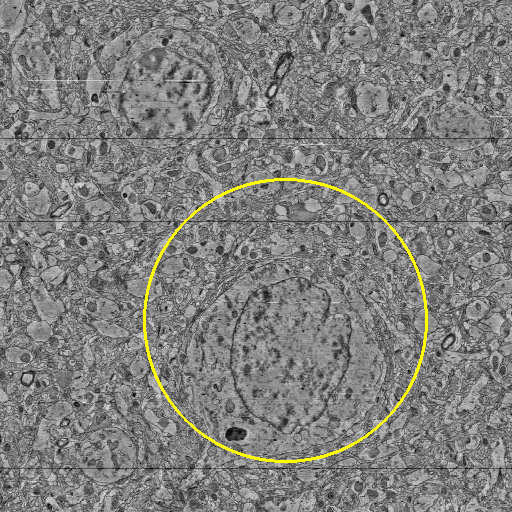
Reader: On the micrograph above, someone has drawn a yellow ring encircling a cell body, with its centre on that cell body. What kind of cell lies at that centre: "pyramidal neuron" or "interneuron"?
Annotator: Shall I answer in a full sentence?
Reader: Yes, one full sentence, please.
Here a pyramidal neuron sits at the centre of the yellow ring drawn on the micrograph.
